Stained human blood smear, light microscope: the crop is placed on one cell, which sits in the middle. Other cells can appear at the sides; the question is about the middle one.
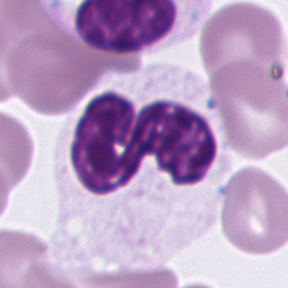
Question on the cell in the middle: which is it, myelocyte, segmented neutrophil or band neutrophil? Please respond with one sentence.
The cell at the heart of this crop is a segmented neutrophil.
